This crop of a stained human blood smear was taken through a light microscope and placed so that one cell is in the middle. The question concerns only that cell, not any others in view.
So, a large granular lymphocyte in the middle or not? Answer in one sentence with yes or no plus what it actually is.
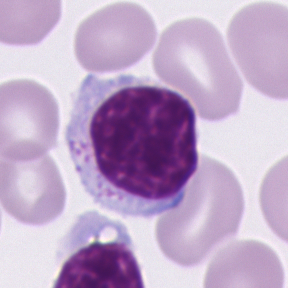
Yes, a large granular lymphocyte is the cell positioned in the middle of the field.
